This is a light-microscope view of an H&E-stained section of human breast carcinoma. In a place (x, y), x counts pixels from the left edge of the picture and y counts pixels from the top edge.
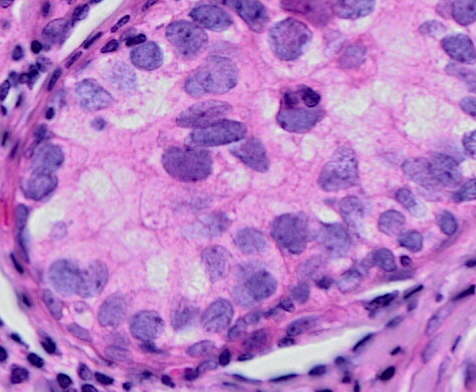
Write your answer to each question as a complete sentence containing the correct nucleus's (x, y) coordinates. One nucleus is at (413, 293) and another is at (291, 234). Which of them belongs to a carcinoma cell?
The one nucleus of the two that belongs to a carcinoma cell is at (291, 234).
